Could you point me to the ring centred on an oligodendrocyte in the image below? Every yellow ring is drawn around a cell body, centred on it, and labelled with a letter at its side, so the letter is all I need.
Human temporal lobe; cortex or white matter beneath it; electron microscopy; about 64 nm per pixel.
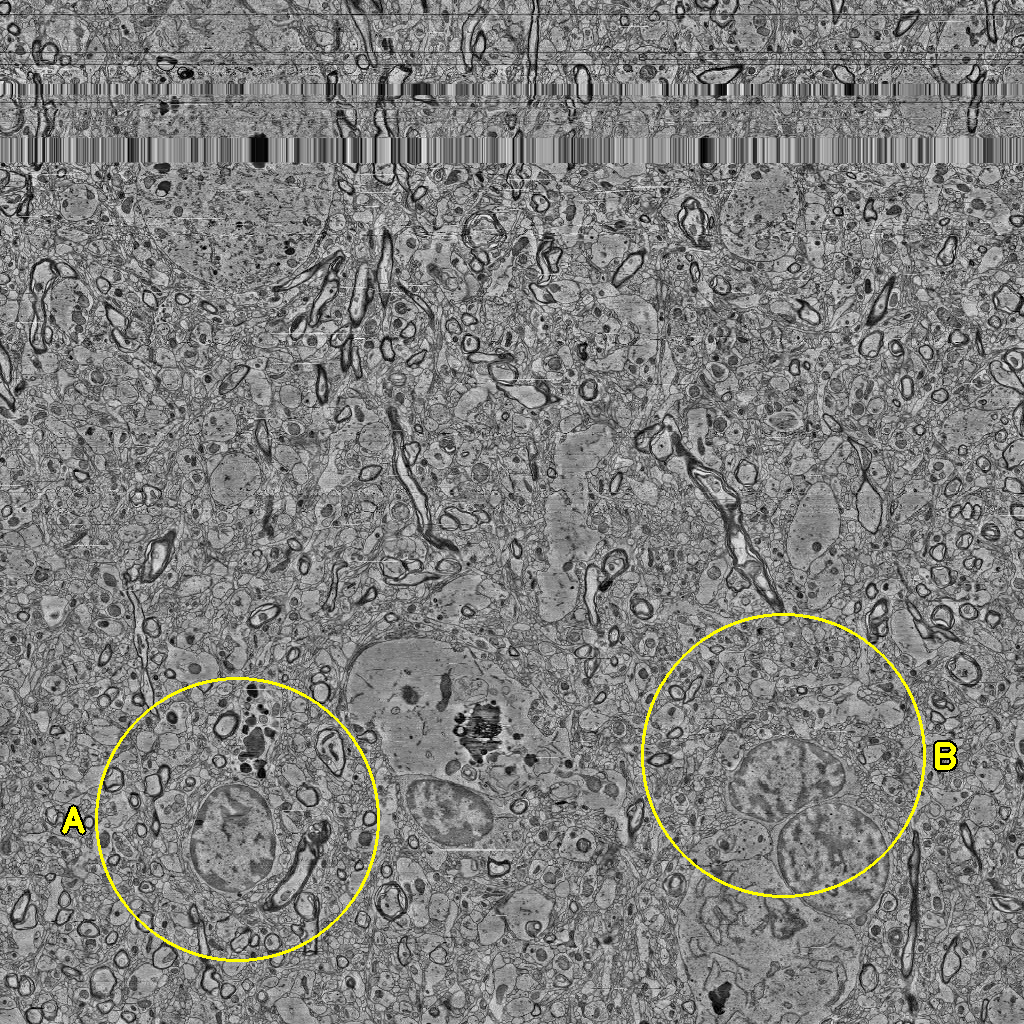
B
